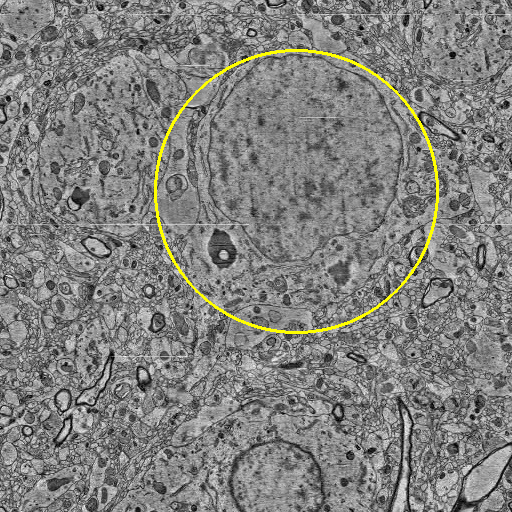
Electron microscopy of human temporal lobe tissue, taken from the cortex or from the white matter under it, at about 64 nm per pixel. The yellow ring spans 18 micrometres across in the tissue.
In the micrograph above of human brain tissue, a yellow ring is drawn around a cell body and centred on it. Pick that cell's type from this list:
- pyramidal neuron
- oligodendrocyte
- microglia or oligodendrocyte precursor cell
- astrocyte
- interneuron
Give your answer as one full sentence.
Going by the list, an interneuron is the cell on which the yellow ring is centred.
